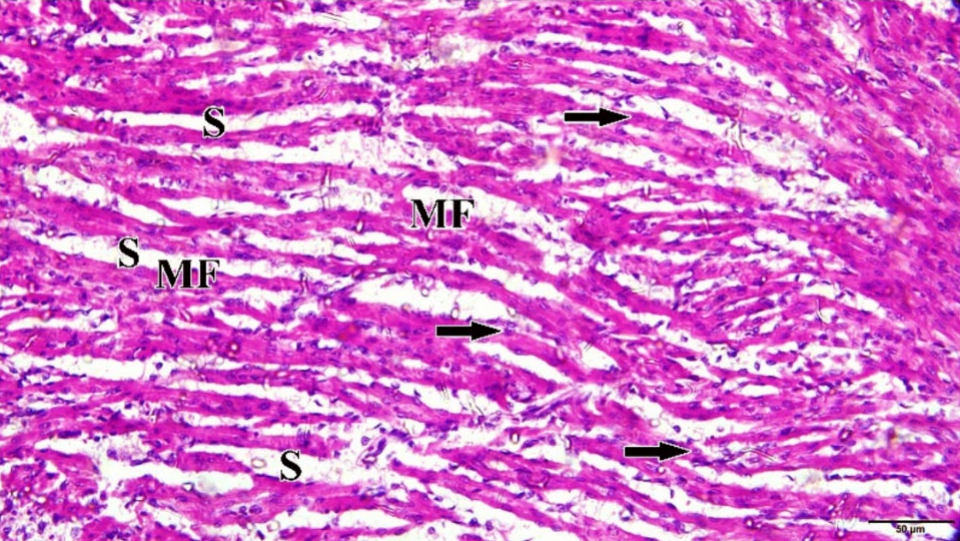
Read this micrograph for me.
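Long pink muscle fibers of heart muscle cut lengthwise run in roughly parallel, wavy rows across the field, and many of them branch and join their neighbours to form a network. Each fiber carries oval, pale-centred purple nuclei lying in the middle of its width rather than at the edge. Between the fibers lie pale, nearly empty clefts of varying width, the intercellular spaces of the endomysium, with a few scattered small dark nuclei of interstitial cells.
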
